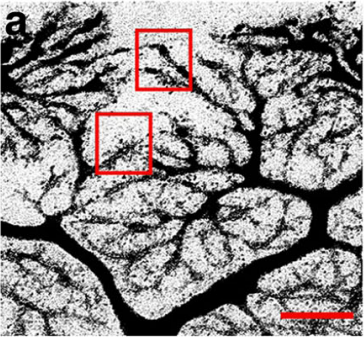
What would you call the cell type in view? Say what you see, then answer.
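A thick dark trunk branches repeatedly into a dense, fan-like dendritic tree. The finest branchlets are covered with small protrusions. So: Purkinje cells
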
